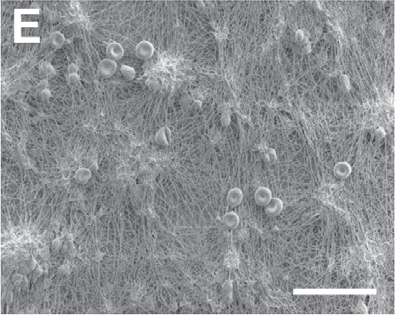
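This is a thrombus seen from above, with small platelet aggregates sunk into a dense, continuous fibrin mesh of thin interlacing fibers that covers the entire surface. Scattered on top lie a number of smooth, biconcave red blood cells, much larger and rounder than the platelets in the clumps.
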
